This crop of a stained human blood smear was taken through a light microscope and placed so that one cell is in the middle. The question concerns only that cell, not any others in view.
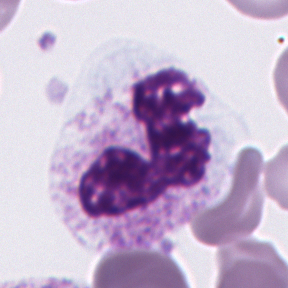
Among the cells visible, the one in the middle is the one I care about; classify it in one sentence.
The cell in the exact centre of the crop is a band neutrophil.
